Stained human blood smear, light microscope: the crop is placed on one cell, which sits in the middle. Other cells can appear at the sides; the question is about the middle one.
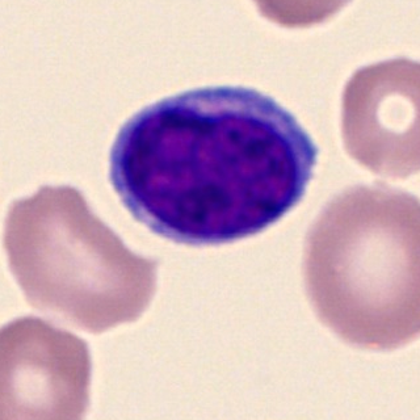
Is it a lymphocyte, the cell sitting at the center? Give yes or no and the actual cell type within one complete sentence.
Yes, centred in the crop is a lymphocyte.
